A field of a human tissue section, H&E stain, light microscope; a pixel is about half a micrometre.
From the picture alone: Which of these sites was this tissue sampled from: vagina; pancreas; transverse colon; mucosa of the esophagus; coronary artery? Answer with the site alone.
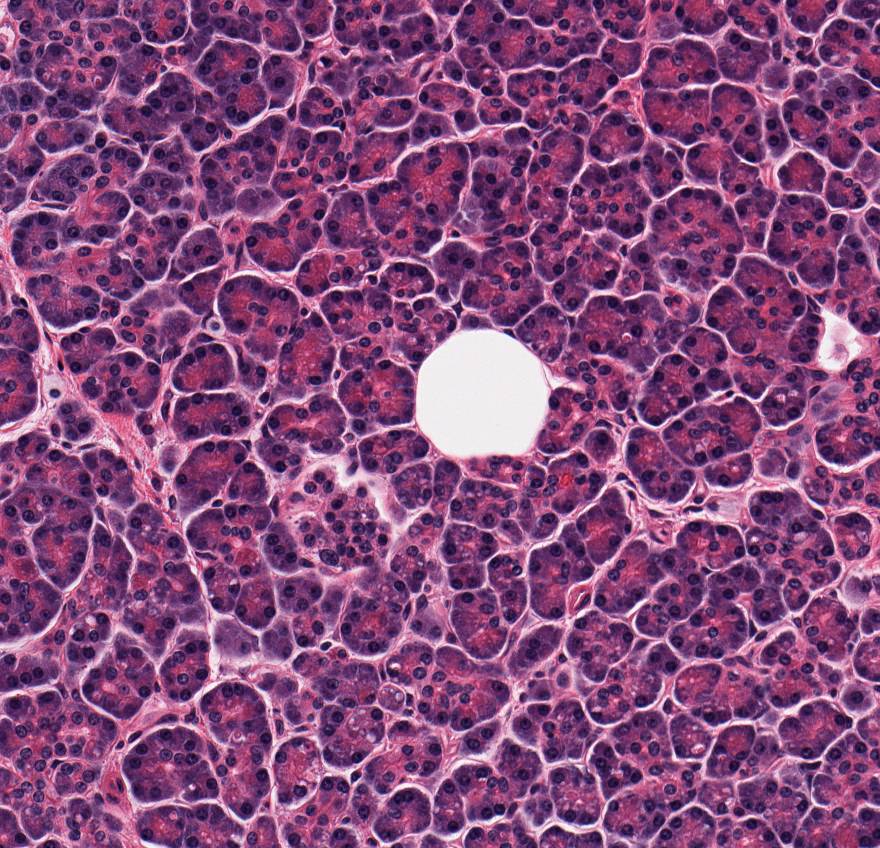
pancreas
